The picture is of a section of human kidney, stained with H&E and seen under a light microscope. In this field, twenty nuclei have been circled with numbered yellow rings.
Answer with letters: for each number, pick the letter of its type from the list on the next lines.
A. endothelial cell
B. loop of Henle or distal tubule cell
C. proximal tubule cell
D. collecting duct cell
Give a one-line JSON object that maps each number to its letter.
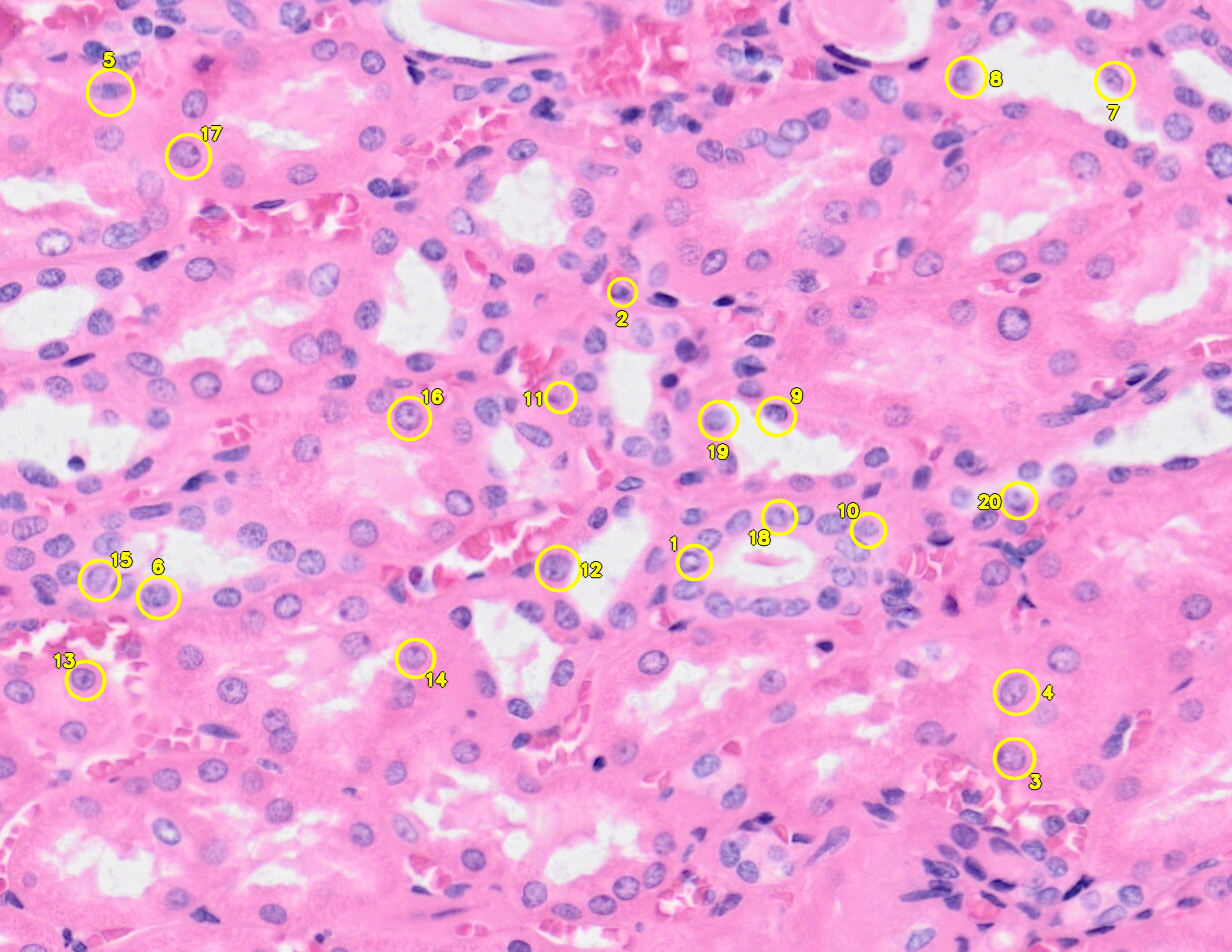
{"1": "D", "2": "A", "3": "C", "4": "C", "5": "A", "6": "D", "7": "B", "8": "B", "9": "B", "10": "D", "11": "D", "12": "B", "13": "C", "14": "C", "15": "D", "16": "C", "17": "C", "18": "D", "19": "B", "20": "B"}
